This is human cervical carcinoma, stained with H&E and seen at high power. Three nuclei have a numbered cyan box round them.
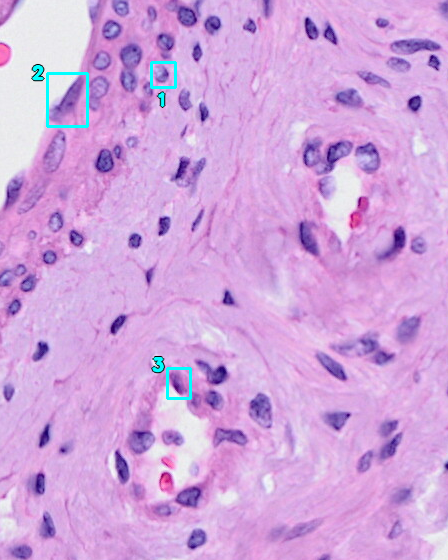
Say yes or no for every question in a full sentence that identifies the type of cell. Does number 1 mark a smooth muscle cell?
Yes, the cell that goes by number 1 is a smooth muscle cell.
